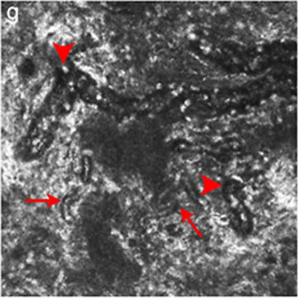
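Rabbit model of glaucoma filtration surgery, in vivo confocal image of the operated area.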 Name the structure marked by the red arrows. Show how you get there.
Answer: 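The arrows point at thin, narrow linear channels. These channels are much narrower than those at the arrowheads.
Hence: fine vasculature.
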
